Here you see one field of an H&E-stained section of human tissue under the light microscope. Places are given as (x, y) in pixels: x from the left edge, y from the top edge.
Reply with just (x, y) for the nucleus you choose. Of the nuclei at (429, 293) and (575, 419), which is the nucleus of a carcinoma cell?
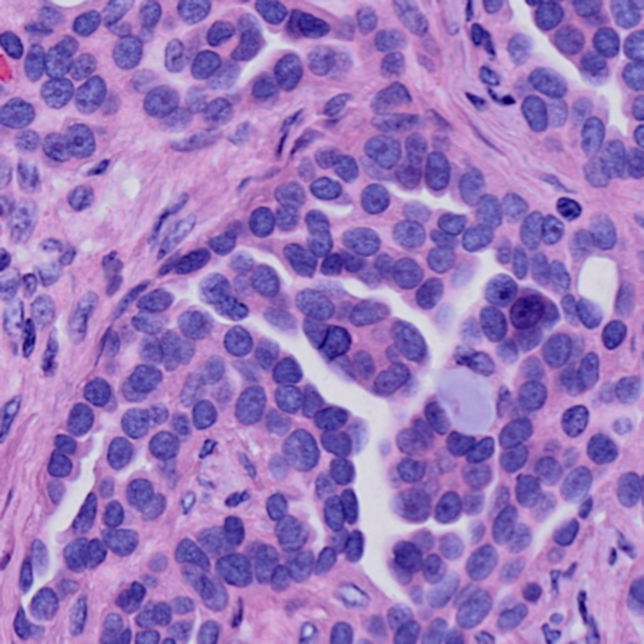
(429, 293)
